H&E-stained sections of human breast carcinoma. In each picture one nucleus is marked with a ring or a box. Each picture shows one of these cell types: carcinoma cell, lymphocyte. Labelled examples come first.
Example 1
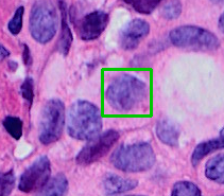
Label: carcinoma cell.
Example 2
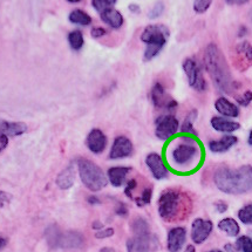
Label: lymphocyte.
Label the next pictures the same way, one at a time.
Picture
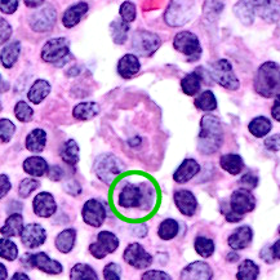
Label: lymphocyte.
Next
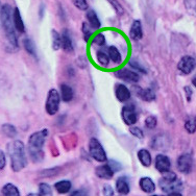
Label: lymphocyte.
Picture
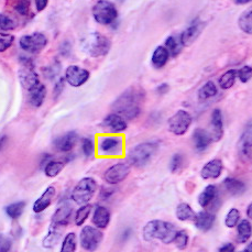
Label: lymphocyte.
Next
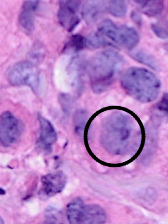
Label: carcinoma cell.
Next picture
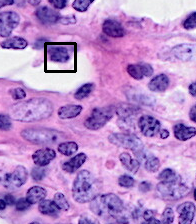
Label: lymphocyte.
